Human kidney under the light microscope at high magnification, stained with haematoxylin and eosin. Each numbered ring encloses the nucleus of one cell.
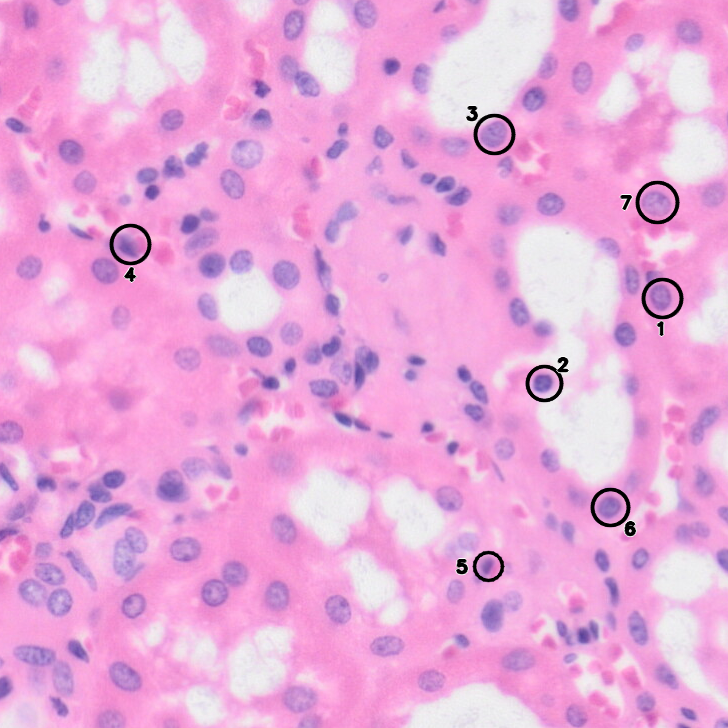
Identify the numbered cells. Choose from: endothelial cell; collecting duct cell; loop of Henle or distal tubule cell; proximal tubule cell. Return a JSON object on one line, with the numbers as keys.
{"1": "proximal tubule cell", "2": "loop of Henle or distal tubule cell", "3": "loop of Henle or distal tubule cell", "4": "endothelial cell", "5": "endothelial cell", "6": "collecting duct cell", "7": "proximal tubule cell"}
